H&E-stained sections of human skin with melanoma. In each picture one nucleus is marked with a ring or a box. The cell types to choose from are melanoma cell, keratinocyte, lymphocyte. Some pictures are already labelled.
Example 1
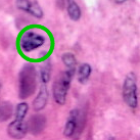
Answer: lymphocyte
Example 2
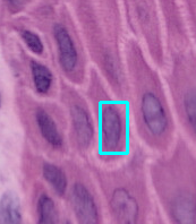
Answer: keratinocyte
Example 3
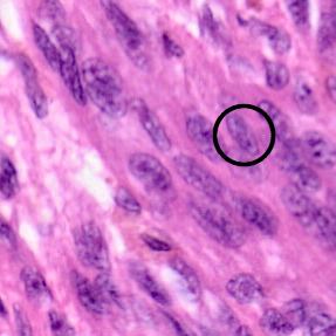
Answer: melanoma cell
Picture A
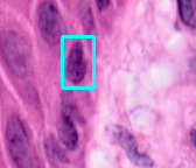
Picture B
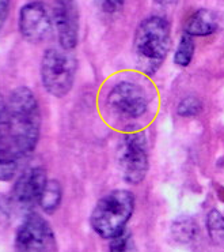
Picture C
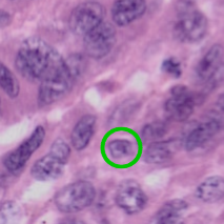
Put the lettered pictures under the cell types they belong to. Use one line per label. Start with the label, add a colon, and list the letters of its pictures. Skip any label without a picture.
melanoma cell: B, C
keratinocyte: A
